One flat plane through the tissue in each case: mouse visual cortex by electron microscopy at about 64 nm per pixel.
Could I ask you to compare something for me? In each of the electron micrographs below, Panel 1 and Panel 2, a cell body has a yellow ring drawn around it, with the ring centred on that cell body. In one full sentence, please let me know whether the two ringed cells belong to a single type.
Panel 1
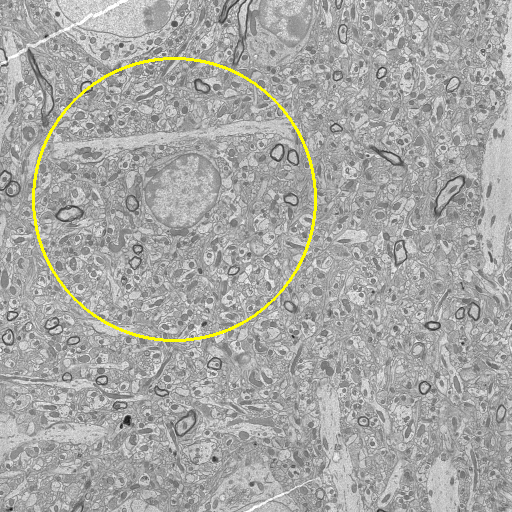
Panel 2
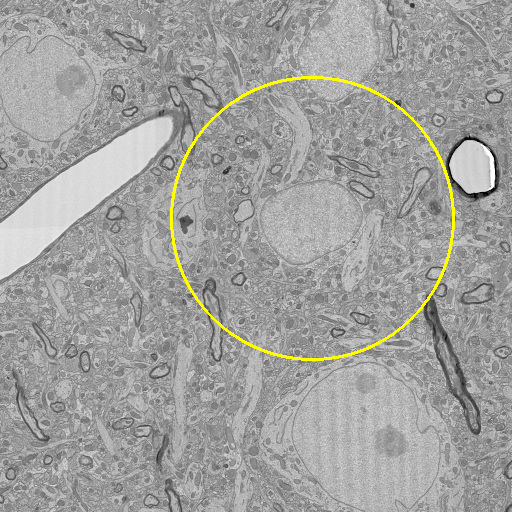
No, the two cells at the centres of the rings are of two types.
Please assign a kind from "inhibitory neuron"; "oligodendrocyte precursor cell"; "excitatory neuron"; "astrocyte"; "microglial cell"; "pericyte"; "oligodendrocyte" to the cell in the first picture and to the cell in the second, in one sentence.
In the first picture we have an oligodendrocyte, and in the second, an astrocyte.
